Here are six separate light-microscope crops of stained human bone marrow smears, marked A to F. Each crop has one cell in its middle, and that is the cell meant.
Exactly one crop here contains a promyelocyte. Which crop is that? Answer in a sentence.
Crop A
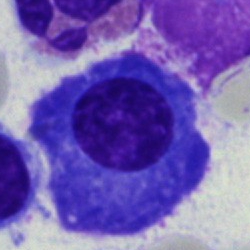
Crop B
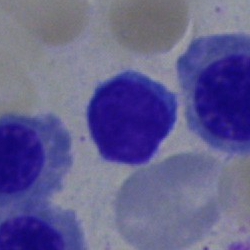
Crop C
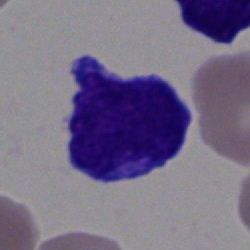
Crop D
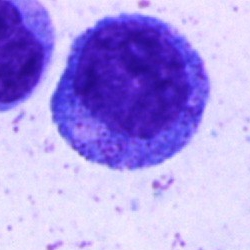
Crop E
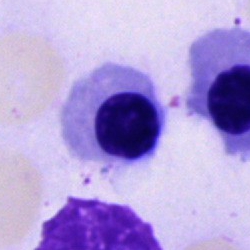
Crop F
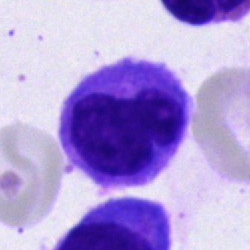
As for which crop shows a promyelocyte, it is crop D.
